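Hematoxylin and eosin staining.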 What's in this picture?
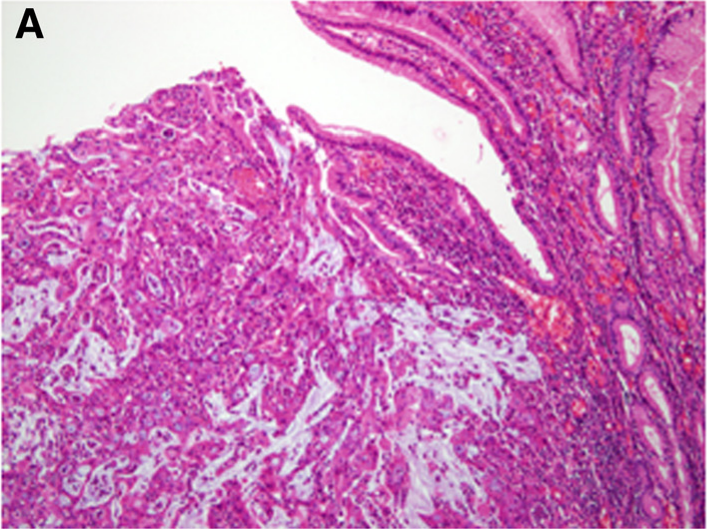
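This low-power view shows an adenocarcinoma beside preserved glandular mucosa. On the left, tumor cells form crowded, irregular sheets and cords without proper gland structure. Pale bluish, wispy mucinous material is spread between the tumor cell groups. At the upper right, regular mucosa with tall columnar surface epithelium and evenly spaced glands lies in a cellular stroma.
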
